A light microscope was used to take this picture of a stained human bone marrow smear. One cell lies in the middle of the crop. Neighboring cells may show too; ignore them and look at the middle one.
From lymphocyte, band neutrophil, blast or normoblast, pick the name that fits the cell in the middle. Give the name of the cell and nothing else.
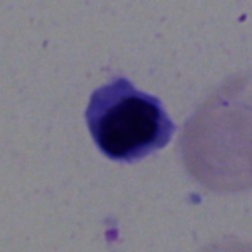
normoblast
